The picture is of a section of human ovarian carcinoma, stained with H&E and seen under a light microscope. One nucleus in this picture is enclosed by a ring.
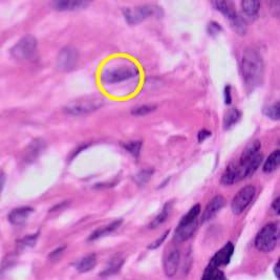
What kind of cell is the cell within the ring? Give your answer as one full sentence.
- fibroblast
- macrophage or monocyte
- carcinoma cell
At the level of cell identity, the cell within the ring is a fibroblast.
